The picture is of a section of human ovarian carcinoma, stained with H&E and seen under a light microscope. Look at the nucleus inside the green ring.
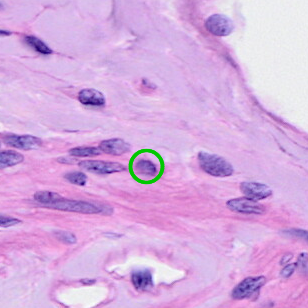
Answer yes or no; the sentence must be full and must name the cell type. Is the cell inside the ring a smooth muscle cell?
Yes, in short, the cell inside the ring is a smooth muscle cell here.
